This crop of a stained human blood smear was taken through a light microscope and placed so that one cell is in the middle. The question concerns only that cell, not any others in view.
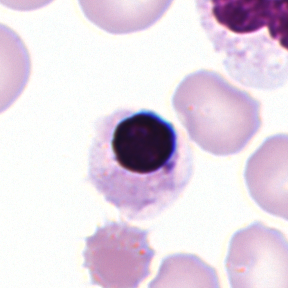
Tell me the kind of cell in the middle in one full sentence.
To answer, the cell in the center of the crop is a normoblast.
